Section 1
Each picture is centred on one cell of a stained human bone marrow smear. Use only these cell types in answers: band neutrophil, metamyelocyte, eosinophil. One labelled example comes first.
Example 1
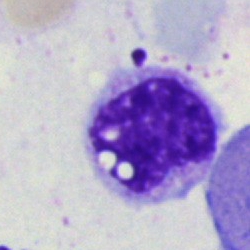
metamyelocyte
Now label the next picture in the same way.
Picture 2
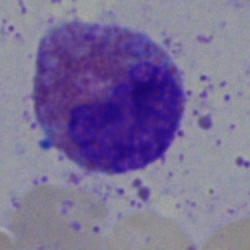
eosinophil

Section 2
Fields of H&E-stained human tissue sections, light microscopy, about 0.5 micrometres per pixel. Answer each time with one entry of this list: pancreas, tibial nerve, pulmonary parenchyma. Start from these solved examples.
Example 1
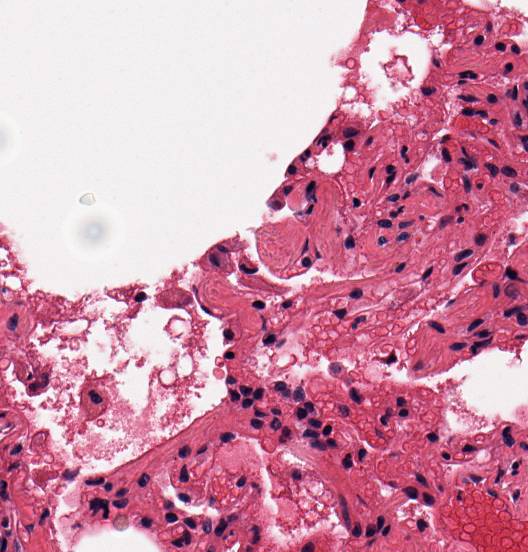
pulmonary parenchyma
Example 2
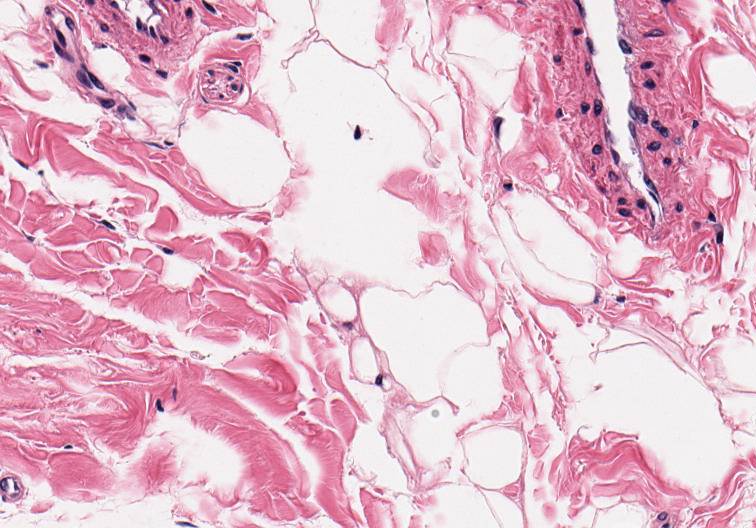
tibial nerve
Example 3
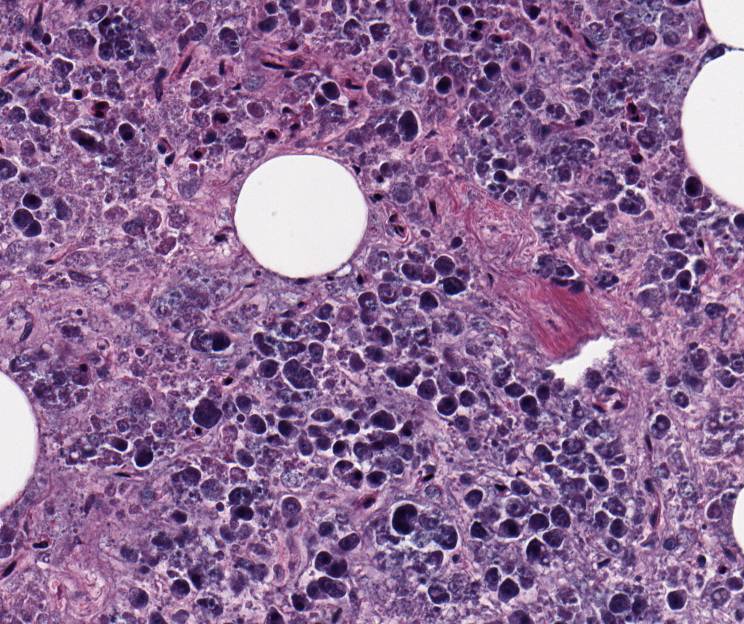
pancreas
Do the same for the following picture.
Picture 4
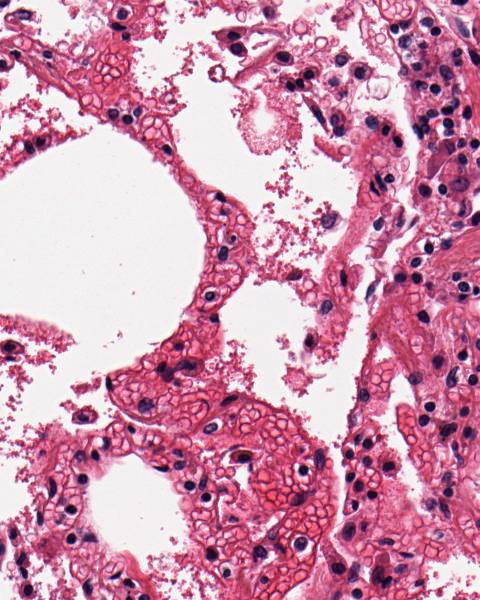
pulmonary parenchyma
